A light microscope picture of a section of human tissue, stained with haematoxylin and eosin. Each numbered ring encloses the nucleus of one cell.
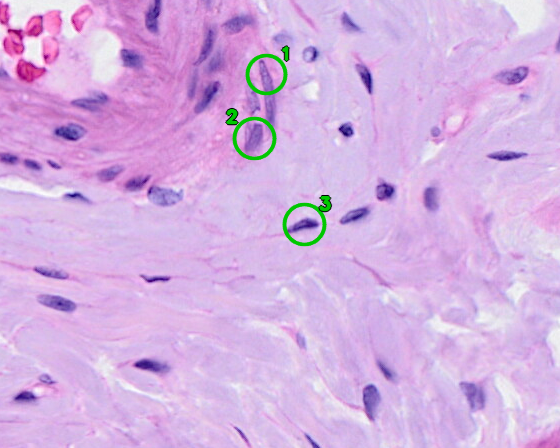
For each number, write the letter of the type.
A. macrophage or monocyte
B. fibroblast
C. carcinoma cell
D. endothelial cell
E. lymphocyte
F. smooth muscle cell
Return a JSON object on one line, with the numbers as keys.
{"1": "F", "2": "F", "3": "B"}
